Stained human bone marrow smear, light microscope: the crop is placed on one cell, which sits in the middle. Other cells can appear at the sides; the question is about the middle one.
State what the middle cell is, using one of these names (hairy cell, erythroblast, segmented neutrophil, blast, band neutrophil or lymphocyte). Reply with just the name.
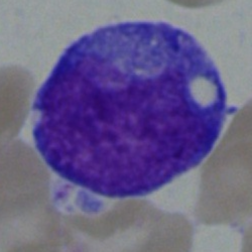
blast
